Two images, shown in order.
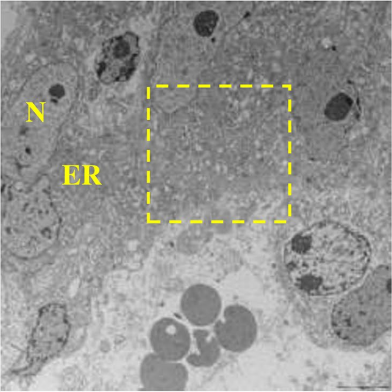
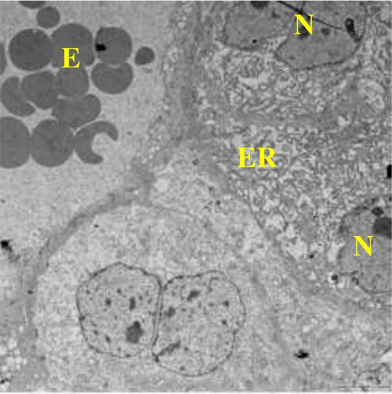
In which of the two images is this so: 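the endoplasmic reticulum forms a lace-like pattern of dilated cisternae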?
The second image.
